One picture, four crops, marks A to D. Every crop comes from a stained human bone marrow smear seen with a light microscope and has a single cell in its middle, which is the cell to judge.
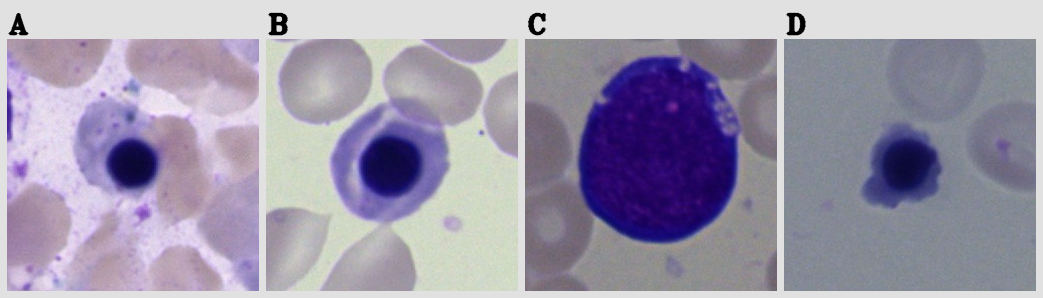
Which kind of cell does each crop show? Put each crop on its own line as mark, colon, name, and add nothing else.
A: erythroblast
B: erythroblast
C: blast
D: erythroblast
